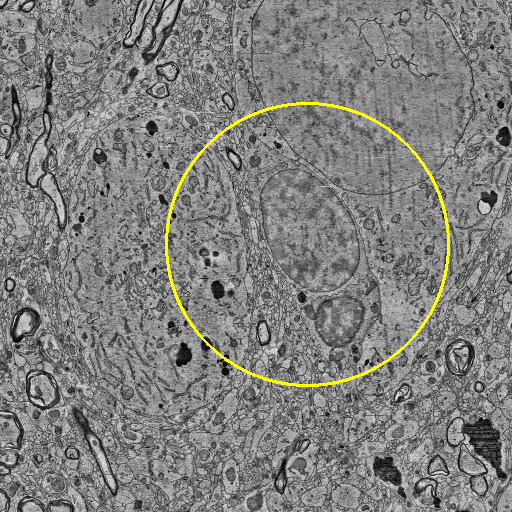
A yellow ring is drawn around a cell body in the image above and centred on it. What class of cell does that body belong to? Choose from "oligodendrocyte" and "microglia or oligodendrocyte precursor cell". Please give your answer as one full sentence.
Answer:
The yellow ring above is centred on the cell body of an oligodendrocyte.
